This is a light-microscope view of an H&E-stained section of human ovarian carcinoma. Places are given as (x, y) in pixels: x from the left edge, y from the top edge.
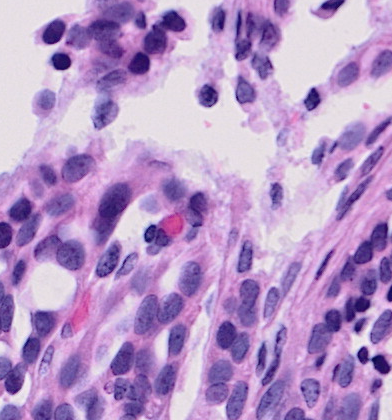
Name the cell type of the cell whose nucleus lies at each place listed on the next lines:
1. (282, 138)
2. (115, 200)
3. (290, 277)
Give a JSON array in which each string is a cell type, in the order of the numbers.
["fibroblast", "carcinoma cell", "fibroblast"]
